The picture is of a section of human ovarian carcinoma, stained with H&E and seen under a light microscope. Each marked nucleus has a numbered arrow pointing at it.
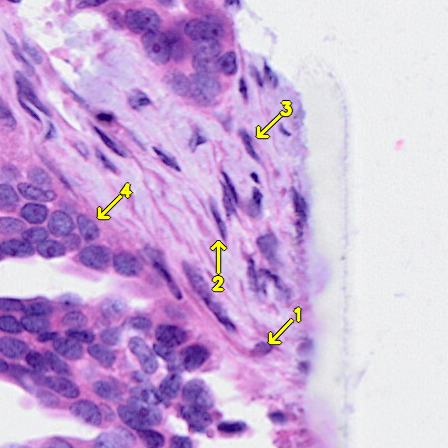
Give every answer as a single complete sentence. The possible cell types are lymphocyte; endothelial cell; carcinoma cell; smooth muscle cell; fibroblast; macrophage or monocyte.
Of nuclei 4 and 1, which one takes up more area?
Nucleus 4 covers more area, about 1.5 times as much as nucleus 1.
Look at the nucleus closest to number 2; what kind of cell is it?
Number 2 lies closest to the nucleus of a fibroblast.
